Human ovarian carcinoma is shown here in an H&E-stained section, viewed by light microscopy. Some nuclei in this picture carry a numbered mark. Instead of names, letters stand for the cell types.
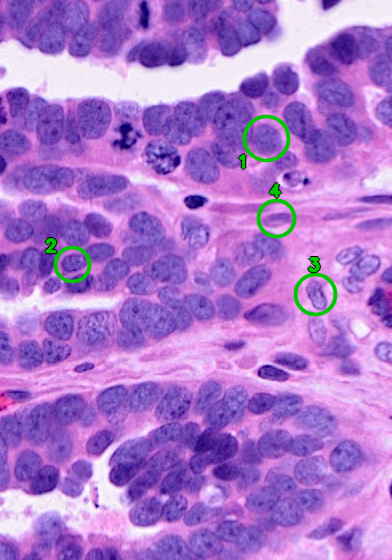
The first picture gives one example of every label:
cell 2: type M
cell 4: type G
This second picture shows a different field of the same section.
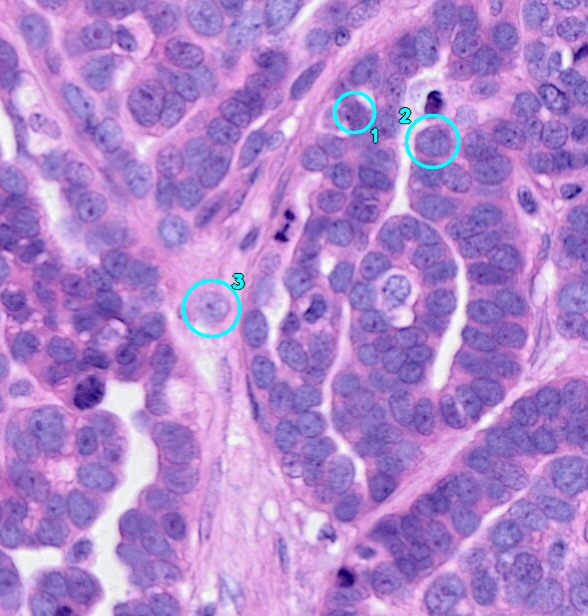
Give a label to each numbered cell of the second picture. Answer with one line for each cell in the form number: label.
1: type M
2: type M
3: type G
